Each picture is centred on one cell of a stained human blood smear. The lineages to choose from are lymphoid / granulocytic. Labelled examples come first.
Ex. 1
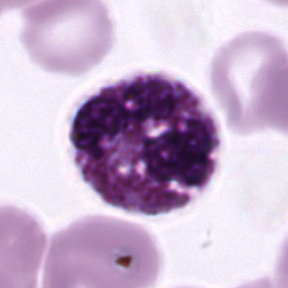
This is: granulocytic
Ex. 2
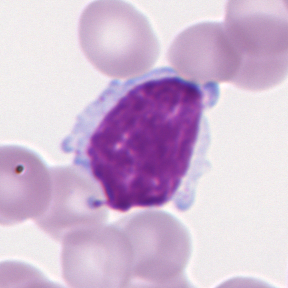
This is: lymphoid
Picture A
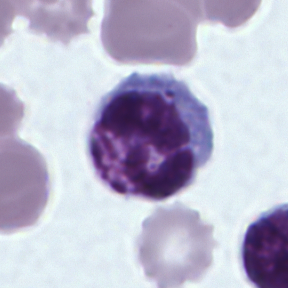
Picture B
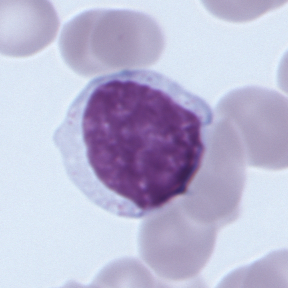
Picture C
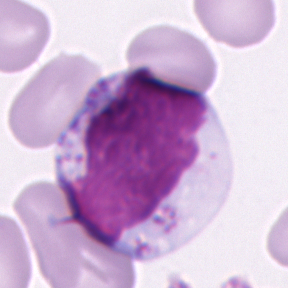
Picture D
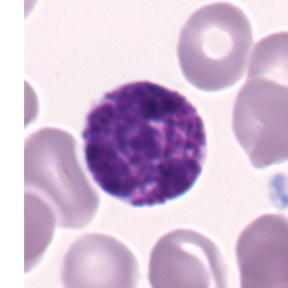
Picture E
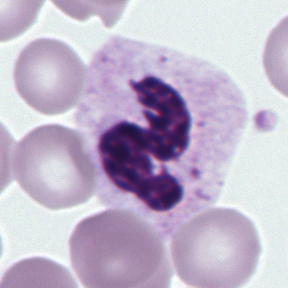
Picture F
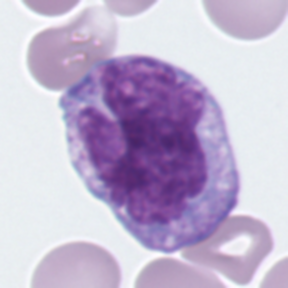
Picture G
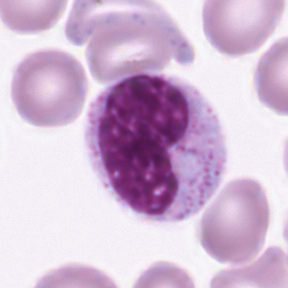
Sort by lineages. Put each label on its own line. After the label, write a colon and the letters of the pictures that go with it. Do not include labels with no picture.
lymphoid: A, B, C
granulocytic: D, E, F, G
